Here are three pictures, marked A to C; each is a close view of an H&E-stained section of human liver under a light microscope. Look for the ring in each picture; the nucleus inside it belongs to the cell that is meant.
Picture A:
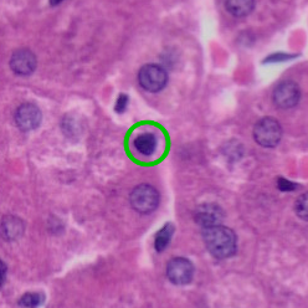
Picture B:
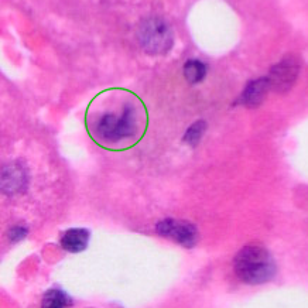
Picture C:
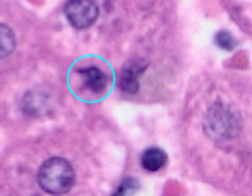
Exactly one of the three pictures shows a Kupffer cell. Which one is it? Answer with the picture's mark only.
B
